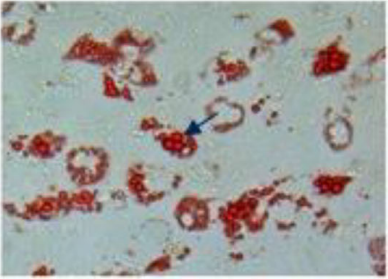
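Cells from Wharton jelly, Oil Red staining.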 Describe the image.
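This culture is full of mature adipocytes, rounded cells packed with red-stained lipid vacuoles. The droplets cluster tightly in some cells, while in others they line a ring around a paler centre. The cells lie scattered on a pale background, separated by unstained gaps.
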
